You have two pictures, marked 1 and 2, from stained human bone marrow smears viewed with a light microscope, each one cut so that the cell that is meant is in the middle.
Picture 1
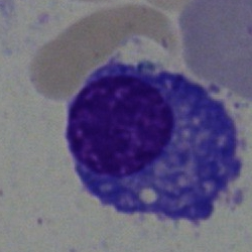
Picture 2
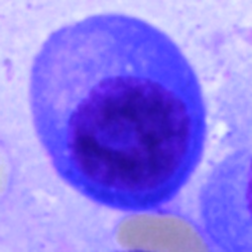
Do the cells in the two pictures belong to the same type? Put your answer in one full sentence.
Yes, the two pictures both show plasma cells.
